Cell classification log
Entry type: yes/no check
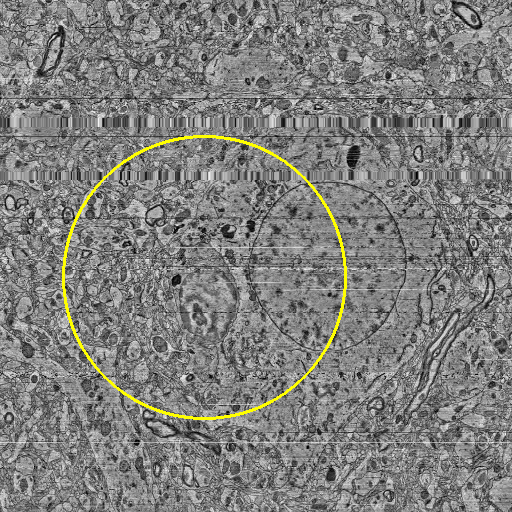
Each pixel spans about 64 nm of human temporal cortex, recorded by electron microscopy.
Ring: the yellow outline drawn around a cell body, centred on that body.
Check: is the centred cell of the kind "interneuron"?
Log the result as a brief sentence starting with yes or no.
No, the cell is of another kind.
